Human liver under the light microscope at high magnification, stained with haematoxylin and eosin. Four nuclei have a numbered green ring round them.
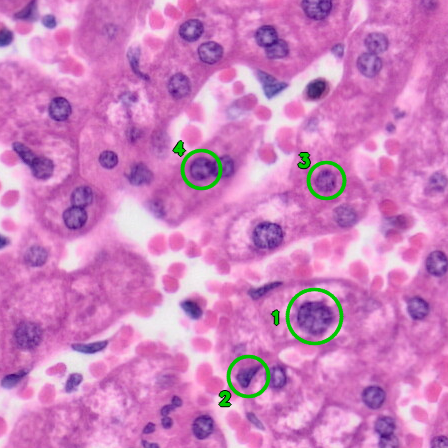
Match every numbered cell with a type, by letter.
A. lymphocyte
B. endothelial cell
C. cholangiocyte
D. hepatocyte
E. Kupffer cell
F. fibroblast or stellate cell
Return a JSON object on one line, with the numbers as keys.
{"1": "D", "2": "F", "3": "D", "4": "D"}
